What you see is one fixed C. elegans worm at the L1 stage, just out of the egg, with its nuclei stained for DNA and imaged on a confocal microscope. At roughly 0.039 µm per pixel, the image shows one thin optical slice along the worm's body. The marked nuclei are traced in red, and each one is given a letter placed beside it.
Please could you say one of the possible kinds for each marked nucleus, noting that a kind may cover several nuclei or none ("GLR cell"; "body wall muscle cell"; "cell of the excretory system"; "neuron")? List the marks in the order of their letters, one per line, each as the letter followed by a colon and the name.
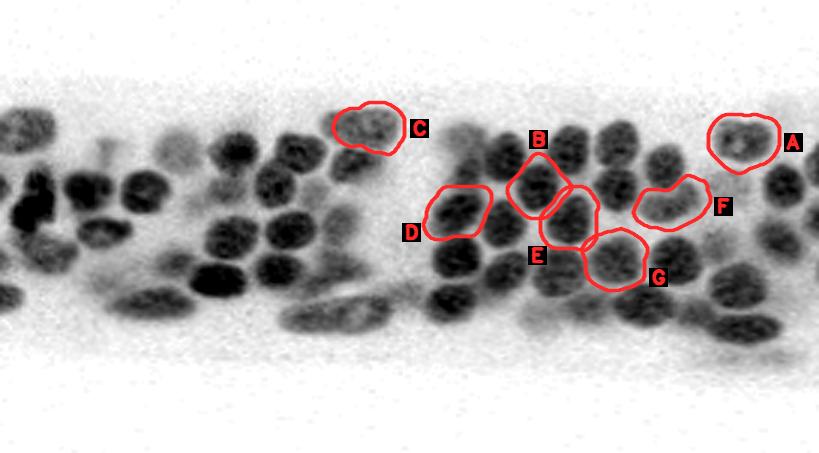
A: body wall muscle cell
B: neuron
C: body wall muscle cell
D: GLR cell
E: neuron
F: cell of the excretory system
G: neuron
